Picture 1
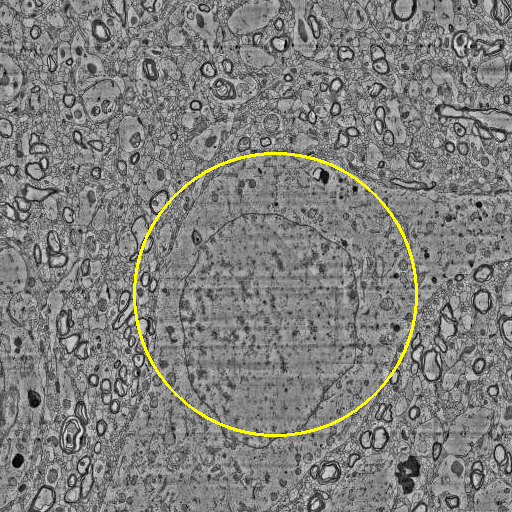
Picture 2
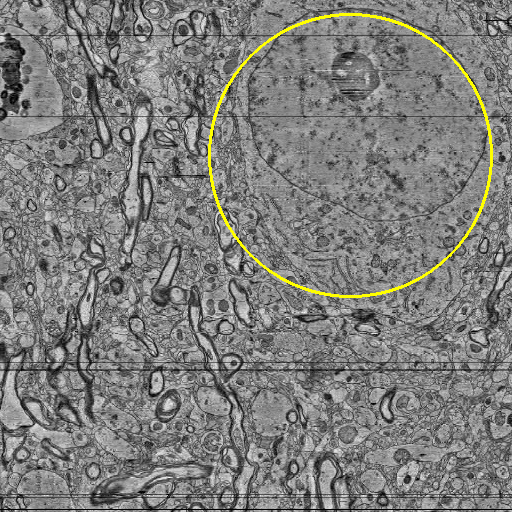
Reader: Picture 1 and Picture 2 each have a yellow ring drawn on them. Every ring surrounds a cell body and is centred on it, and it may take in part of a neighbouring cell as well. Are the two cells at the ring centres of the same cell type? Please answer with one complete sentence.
Yes, both cells are of the same cell type.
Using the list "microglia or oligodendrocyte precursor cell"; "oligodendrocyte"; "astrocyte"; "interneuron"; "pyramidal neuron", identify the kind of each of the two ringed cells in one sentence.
Each cell at the centre of a ring is a pyramidal neuron.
